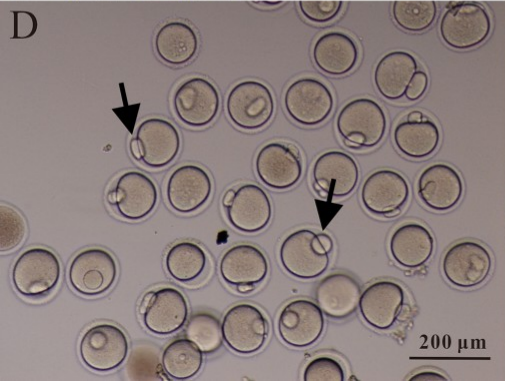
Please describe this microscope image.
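The polar body is a small round or oval body pressed against the oocyte's surface, lying in the narrow space between the cytoplasm and the outer coat. No central pale vesicle is seen in most of the oocytes. Some oocytes lack a polar body, and a few darker or paler round cells of differing size lie among them.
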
